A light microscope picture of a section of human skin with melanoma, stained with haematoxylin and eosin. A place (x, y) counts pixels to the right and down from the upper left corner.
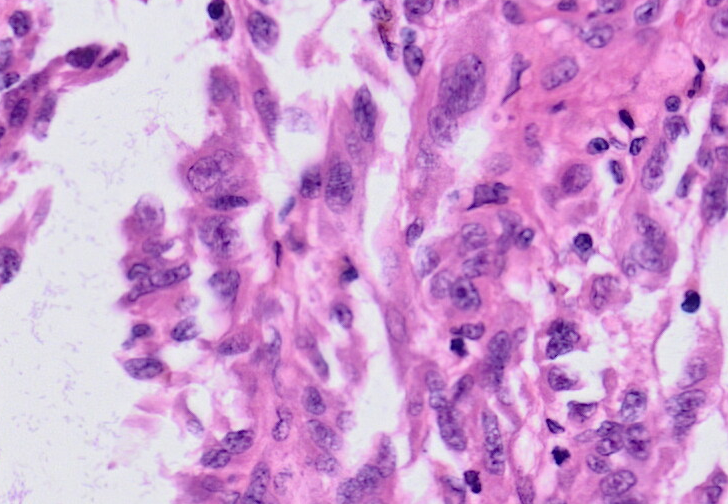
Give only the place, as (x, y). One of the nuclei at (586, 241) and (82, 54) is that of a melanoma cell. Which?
(82, 54)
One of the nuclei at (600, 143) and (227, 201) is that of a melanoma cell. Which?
(227, 201)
